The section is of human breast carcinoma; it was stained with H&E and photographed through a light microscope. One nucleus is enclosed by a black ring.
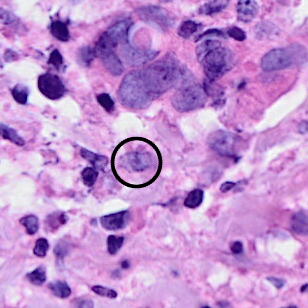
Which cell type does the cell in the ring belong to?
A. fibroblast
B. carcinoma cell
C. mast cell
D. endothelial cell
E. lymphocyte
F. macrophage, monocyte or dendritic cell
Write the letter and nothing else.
F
